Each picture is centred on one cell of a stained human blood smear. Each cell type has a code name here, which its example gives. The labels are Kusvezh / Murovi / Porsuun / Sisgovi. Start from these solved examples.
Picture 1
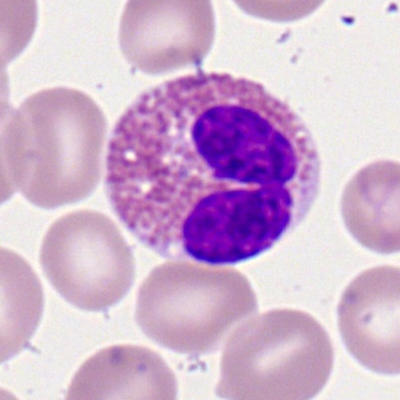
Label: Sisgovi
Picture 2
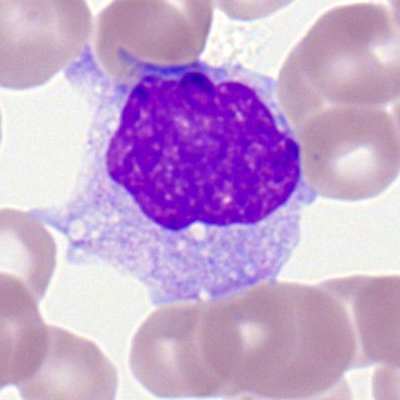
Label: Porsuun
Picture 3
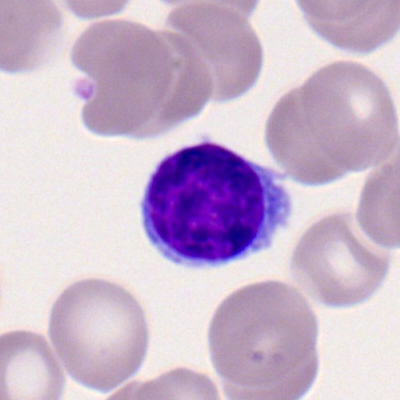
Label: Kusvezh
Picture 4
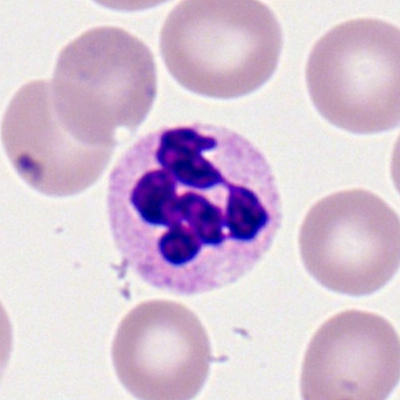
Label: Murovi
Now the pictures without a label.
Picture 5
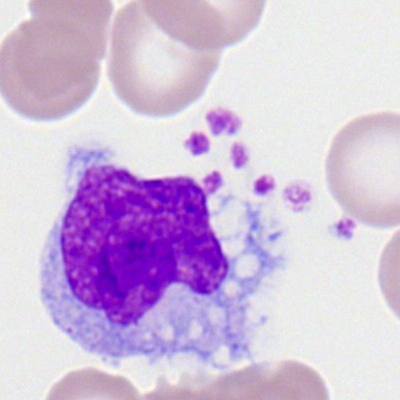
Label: Porsuun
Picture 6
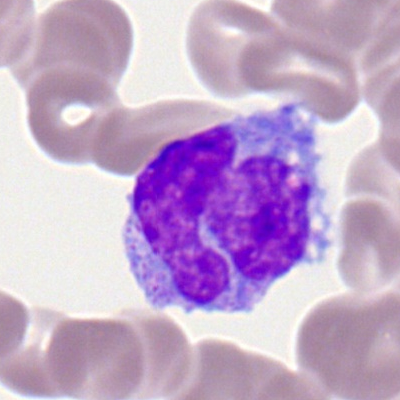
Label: Porsuun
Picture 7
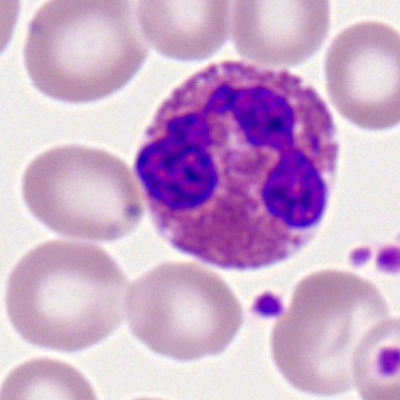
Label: Sisgovi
